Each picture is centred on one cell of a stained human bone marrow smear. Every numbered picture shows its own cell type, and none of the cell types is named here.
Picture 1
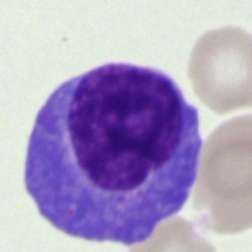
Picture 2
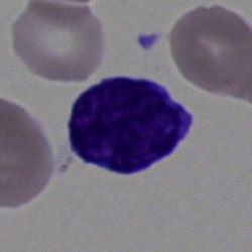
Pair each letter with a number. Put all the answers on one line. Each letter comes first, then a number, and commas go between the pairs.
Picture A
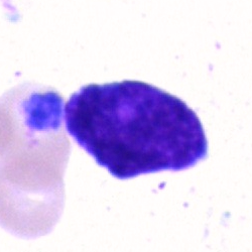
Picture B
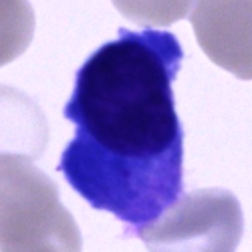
A 2, B 1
